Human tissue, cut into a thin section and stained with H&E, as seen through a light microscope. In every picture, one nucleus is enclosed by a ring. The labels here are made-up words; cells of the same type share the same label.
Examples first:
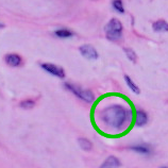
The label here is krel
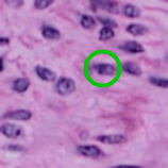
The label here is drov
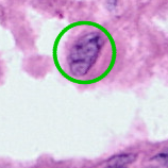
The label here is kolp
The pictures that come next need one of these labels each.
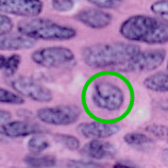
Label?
kolp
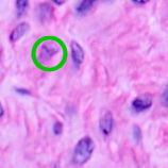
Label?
drov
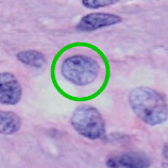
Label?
krel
